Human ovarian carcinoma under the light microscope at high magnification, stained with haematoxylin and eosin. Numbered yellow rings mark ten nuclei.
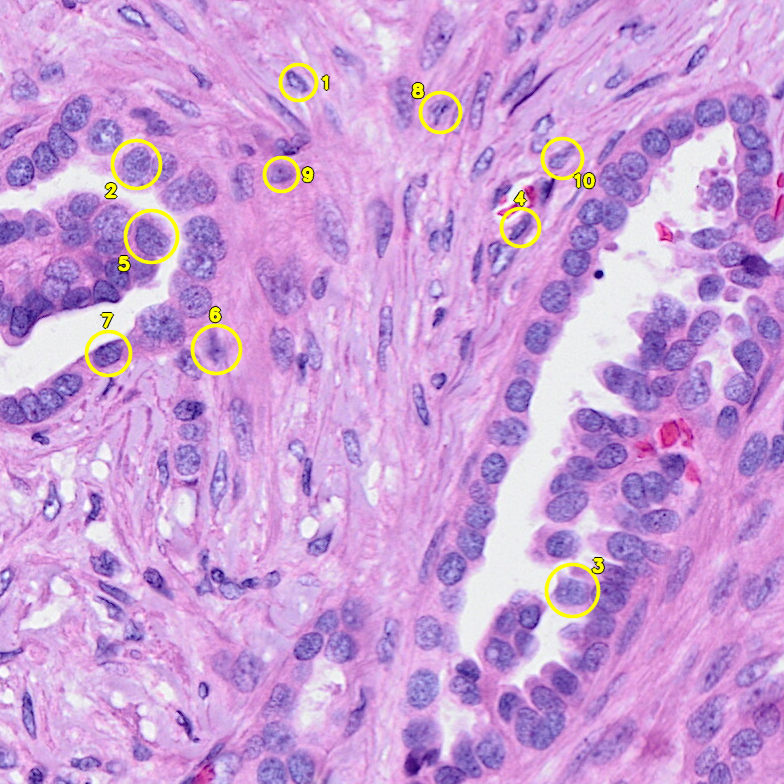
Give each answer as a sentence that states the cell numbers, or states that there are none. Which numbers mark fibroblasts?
Cells 1, 6, 8, 9 and 10 are classified as fibroblasts.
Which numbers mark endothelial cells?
Being an endothelial cell is true of cell 4 and of no other numbered cell.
